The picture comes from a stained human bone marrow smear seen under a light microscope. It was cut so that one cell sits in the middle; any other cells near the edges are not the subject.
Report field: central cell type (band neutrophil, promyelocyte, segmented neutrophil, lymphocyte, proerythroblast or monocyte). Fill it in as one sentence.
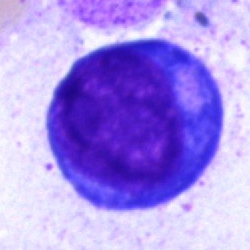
In the crop, the cell of interest at the centre is a proerythroblast.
